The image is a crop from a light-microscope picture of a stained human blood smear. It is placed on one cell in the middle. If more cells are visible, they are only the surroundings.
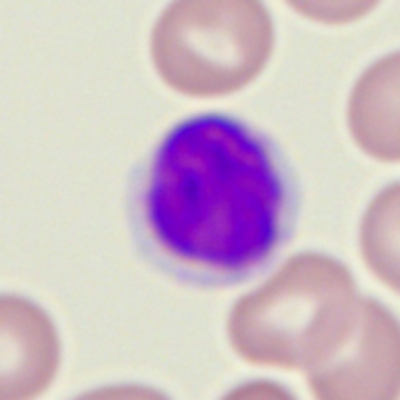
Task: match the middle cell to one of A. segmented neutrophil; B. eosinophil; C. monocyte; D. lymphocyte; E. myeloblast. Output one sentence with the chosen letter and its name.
The cell positioned centrally is a lymphocyte, as given in option D, which is correct.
